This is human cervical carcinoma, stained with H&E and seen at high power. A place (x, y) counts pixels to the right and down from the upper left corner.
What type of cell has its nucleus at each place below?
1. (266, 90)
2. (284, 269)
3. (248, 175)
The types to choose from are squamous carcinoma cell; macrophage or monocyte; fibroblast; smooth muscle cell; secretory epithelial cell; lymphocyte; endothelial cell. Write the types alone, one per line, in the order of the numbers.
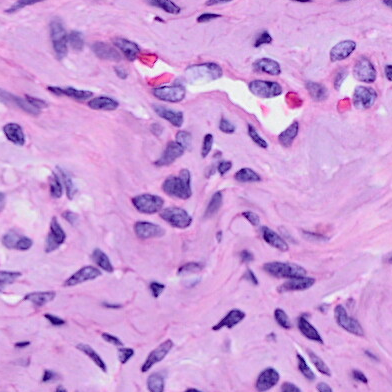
endothelial cell
fibroblast
fibroblast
